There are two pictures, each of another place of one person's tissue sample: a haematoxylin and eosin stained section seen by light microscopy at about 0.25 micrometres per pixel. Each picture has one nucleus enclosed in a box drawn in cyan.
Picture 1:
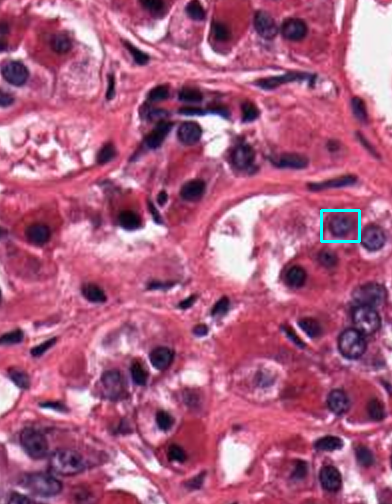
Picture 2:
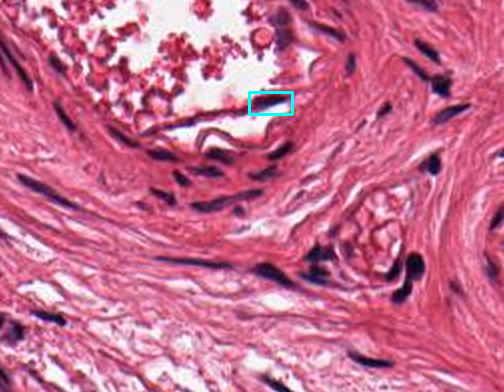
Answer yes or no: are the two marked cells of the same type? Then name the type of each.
No, the first is an anterior pituitary cell and the second an endothelial cell.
